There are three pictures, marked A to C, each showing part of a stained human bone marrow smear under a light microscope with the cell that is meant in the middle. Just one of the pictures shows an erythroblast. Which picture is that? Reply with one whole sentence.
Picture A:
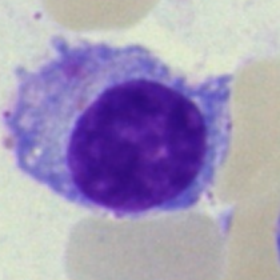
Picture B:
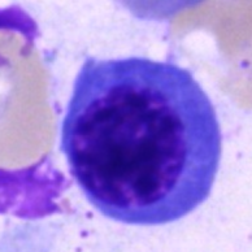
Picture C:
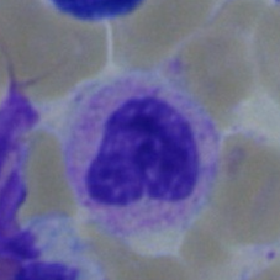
Picture B is the one that shows the erythroblast.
